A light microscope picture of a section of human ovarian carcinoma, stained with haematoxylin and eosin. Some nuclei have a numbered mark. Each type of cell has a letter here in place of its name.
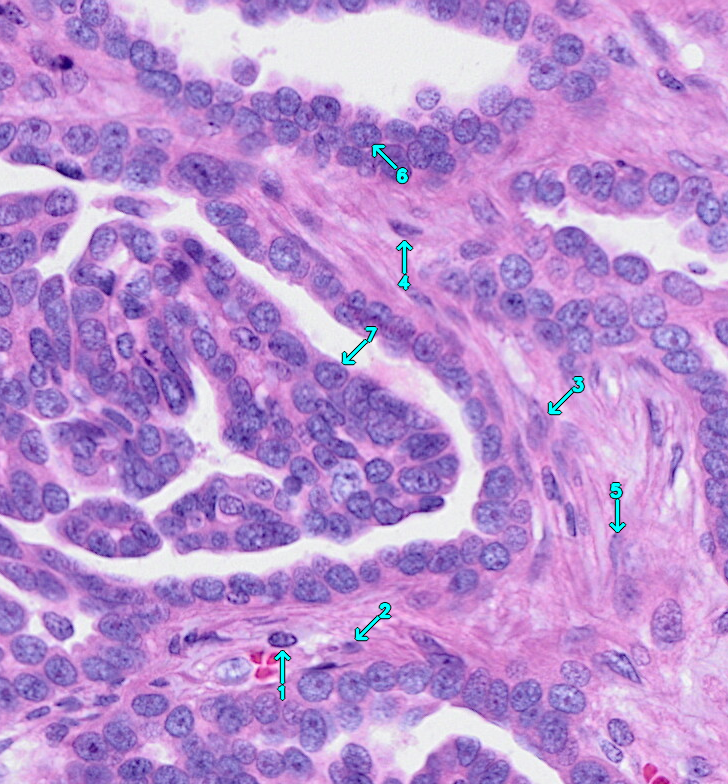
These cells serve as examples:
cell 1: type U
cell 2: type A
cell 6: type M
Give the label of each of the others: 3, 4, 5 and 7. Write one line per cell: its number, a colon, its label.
3: type A
4: type A
5: type A
7: type M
